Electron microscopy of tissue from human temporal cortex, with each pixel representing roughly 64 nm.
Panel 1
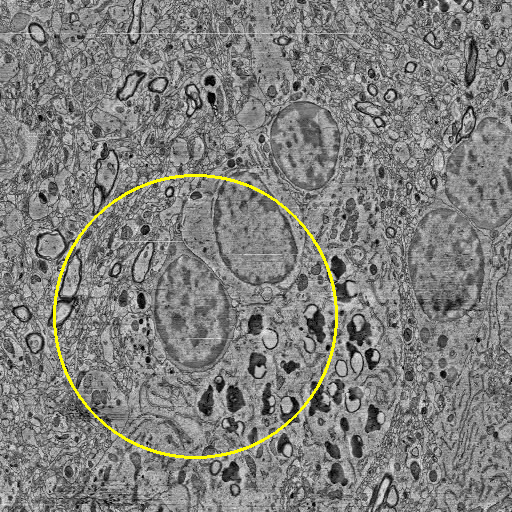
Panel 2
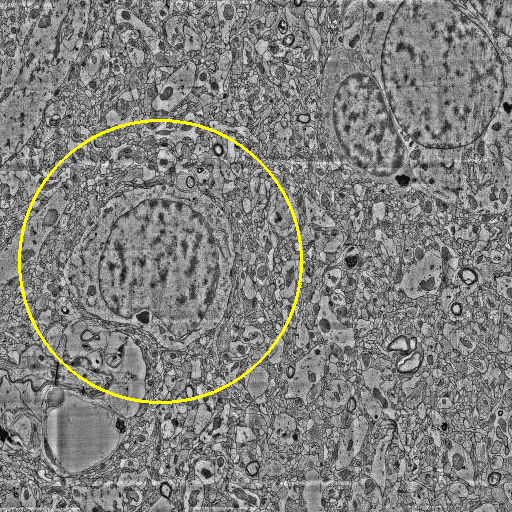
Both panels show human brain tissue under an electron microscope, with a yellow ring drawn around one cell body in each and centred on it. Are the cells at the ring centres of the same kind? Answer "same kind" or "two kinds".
two kinds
